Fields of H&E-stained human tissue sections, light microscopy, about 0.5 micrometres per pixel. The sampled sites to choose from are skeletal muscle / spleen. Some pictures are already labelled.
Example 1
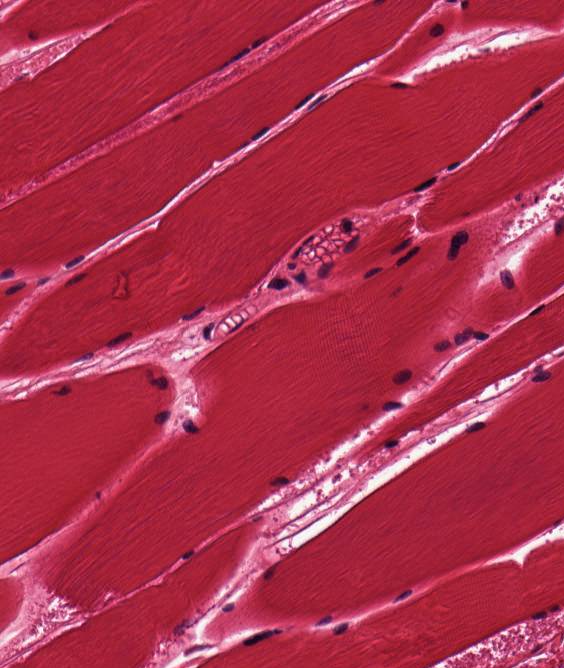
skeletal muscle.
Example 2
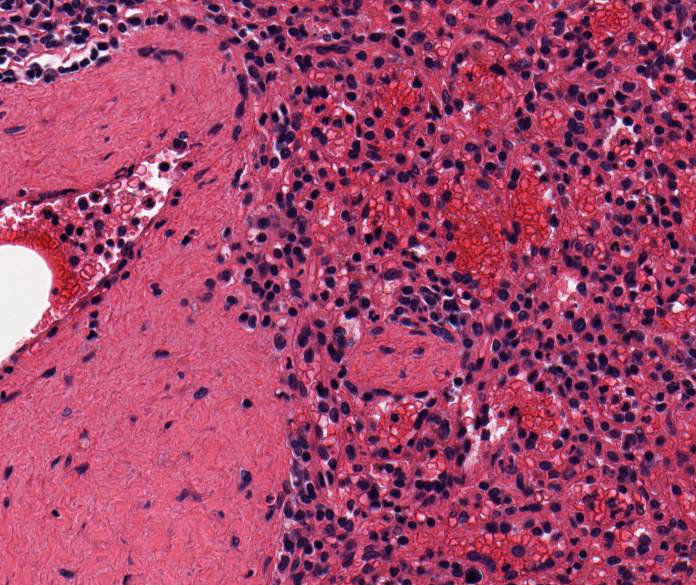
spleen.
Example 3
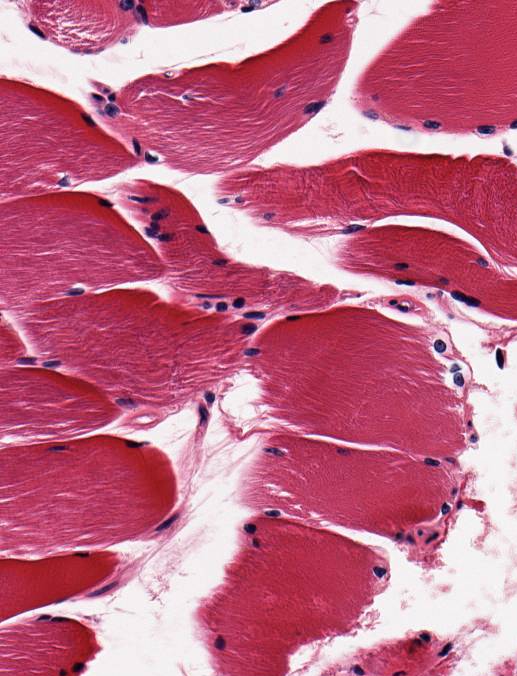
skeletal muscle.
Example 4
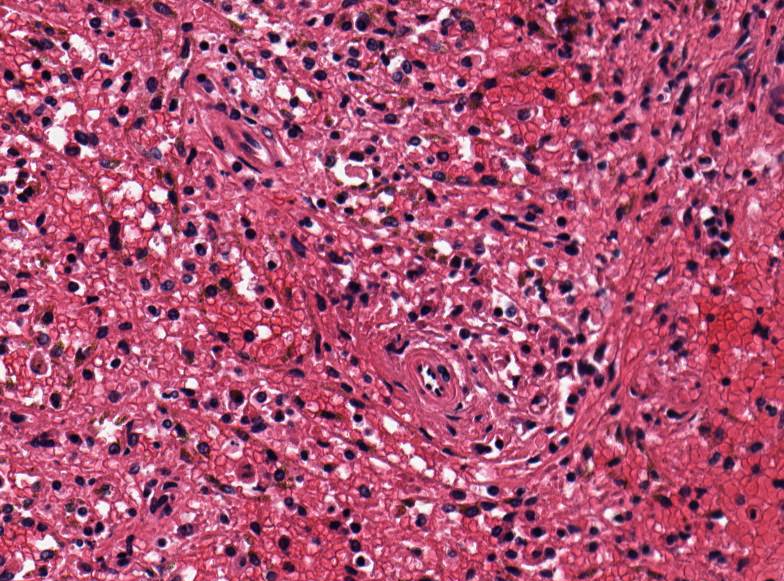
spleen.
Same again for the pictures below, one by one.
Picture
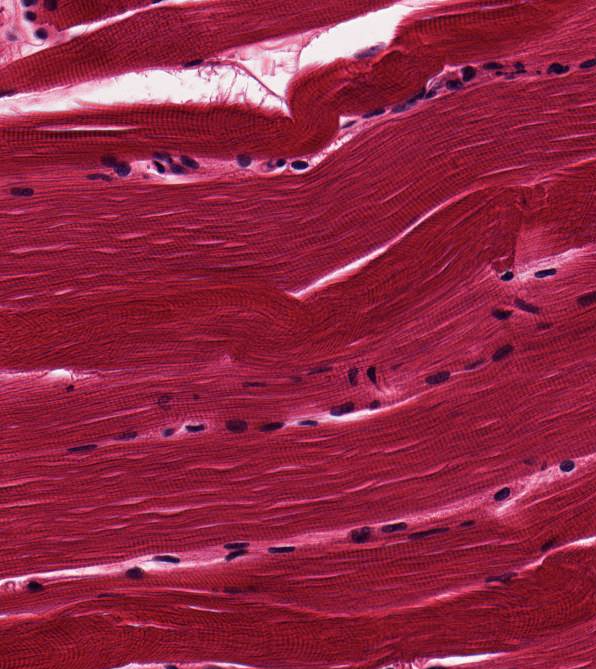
skeletal muscle.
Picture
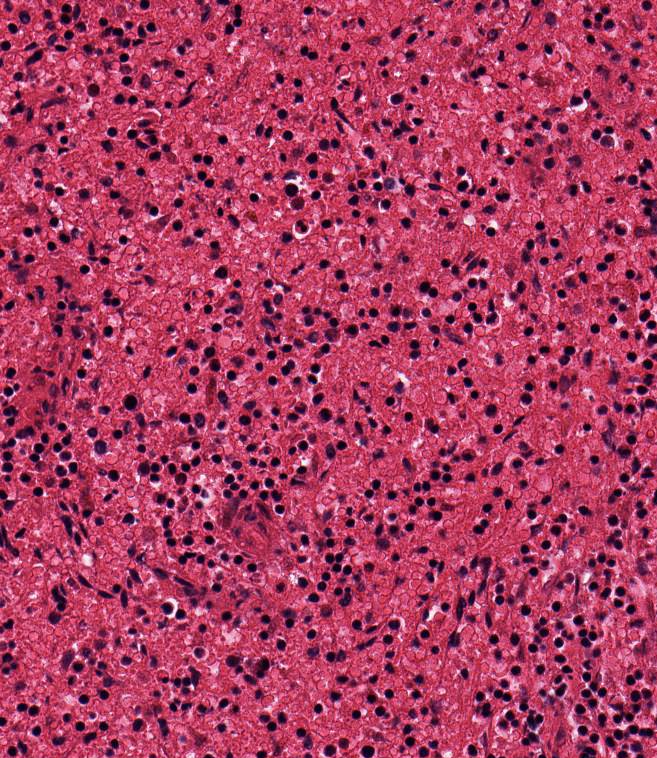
spleen.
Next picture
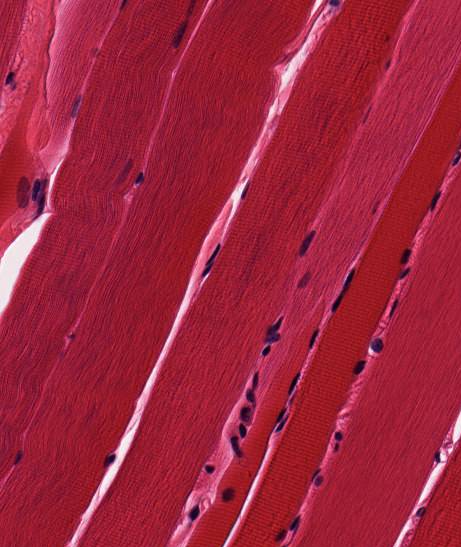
skeletal muscle.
